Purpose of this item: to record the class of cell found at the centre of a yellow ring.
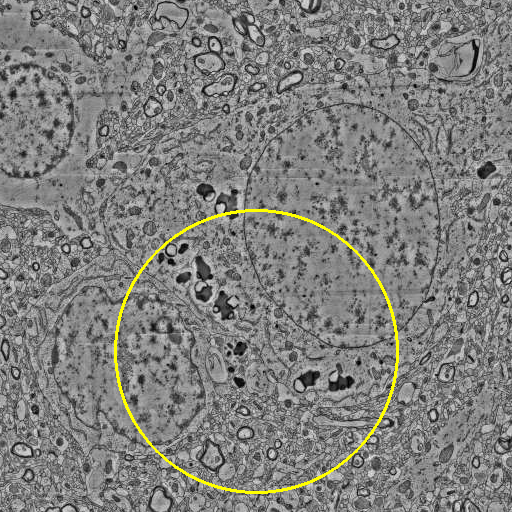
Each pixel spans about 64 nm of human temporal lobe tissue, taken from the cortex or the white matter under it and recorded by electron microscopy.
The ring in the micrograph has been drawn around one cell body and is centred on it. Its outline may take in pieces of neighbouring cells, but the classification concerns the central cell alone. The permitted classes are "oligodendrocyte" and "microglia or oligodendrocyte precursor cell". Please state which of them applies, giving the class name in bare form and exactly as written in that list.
microglia or oligodendrocyte precursor cell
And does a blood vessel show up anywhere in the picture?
No, there is no blood vessel in the image.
